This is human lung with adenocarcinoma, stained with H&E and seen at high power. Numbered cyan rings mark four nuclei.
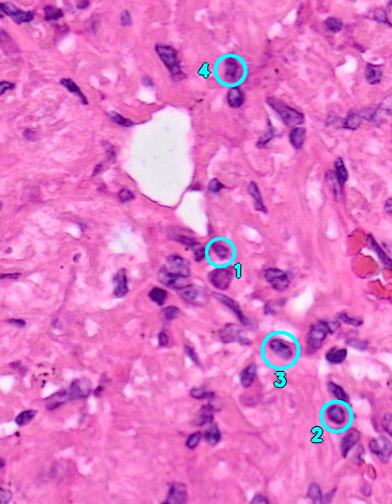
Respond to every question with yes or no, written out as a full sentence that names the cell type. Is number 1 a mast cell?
No, the cell denoted 1 is a plasma cell rather than a mast cell.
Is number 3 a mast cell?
Yes, the marked cell number 3 is a mast cell.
